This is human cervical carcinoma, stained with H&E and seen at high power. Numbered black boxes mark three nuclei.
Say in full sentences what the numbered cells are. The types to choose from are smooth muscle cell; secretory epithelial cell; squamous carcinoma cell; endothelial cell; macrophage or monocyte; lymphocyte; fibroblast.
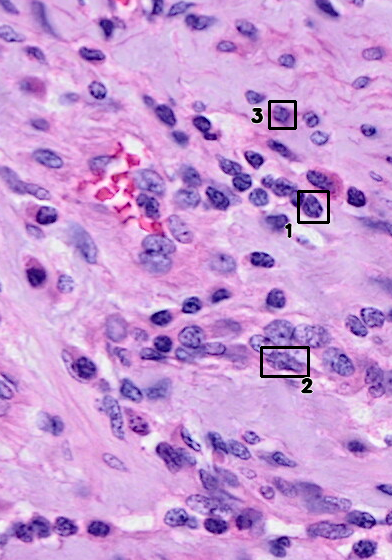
Cell 1 is a lymphocyte. Cell 2 is an endothelial cell. Cell 3 is a smooth muscle cell.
